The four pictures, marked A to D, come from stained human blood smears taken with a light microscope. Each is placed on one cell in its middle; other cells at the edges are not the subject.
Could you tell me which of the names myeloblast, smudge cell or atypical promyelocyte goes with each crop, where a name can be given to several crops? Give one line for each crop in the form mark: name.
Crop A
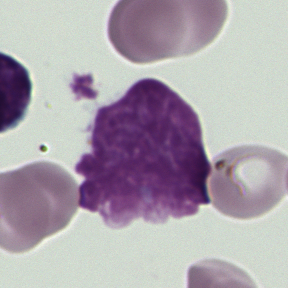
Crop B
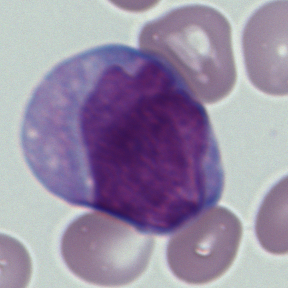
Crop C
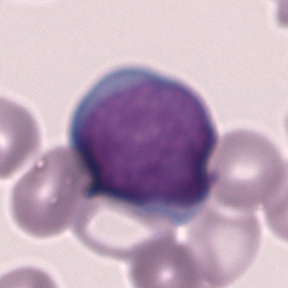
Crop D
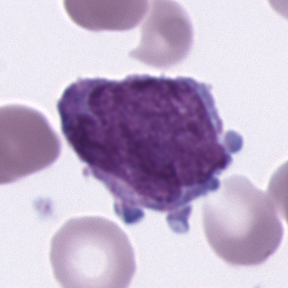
A: smudge cell
B: atypical promyelocyte
C: myeloblast
D: atypical promyelocyte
